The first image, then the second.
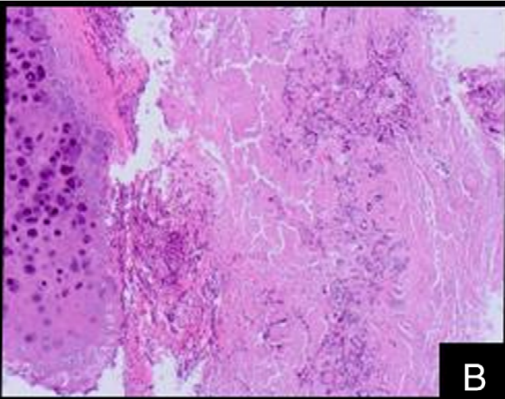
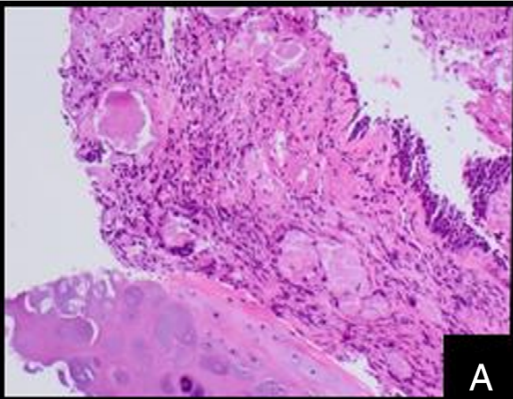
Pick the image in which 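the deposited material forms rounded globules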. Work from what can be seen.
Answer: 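The second image. First image: the pink material spreads in broad sheets without rounded outlines. Second image: the pink material forms discrete rounded masses in the stroma.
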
